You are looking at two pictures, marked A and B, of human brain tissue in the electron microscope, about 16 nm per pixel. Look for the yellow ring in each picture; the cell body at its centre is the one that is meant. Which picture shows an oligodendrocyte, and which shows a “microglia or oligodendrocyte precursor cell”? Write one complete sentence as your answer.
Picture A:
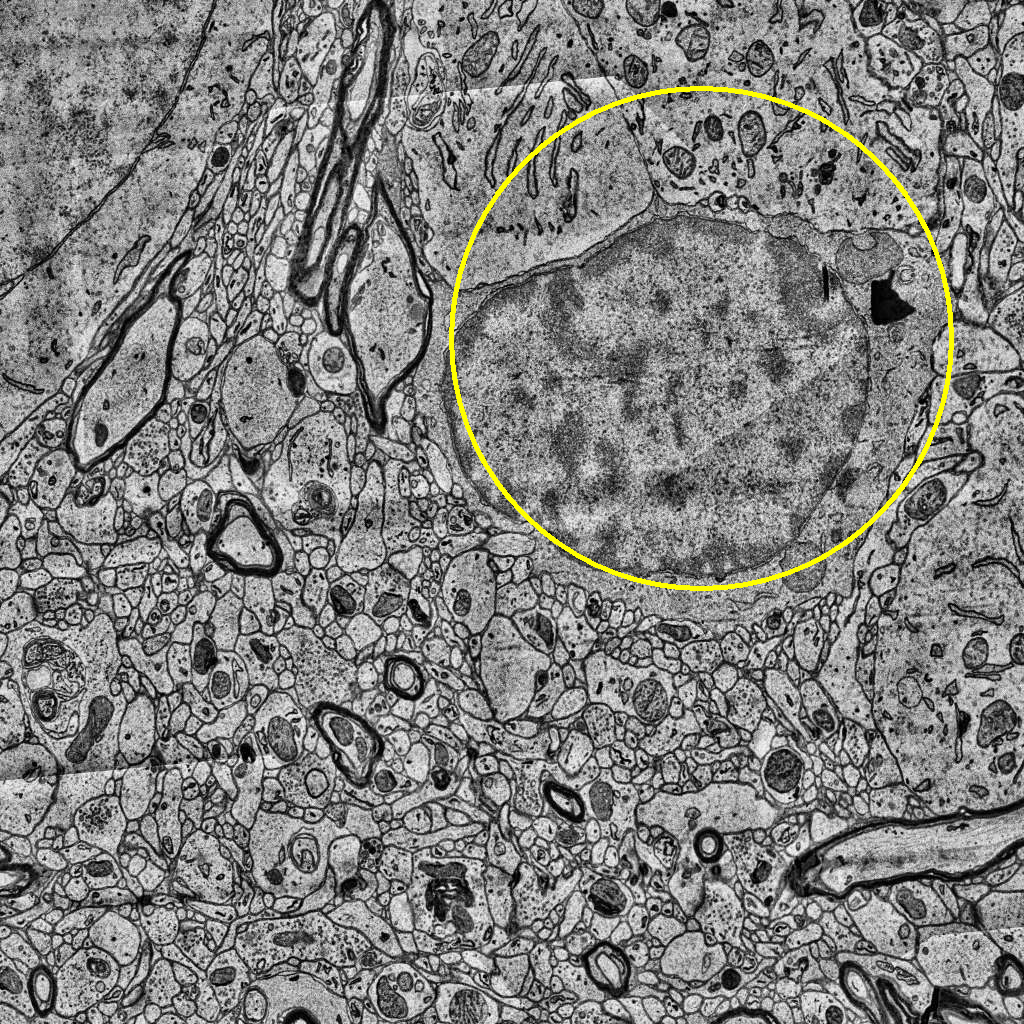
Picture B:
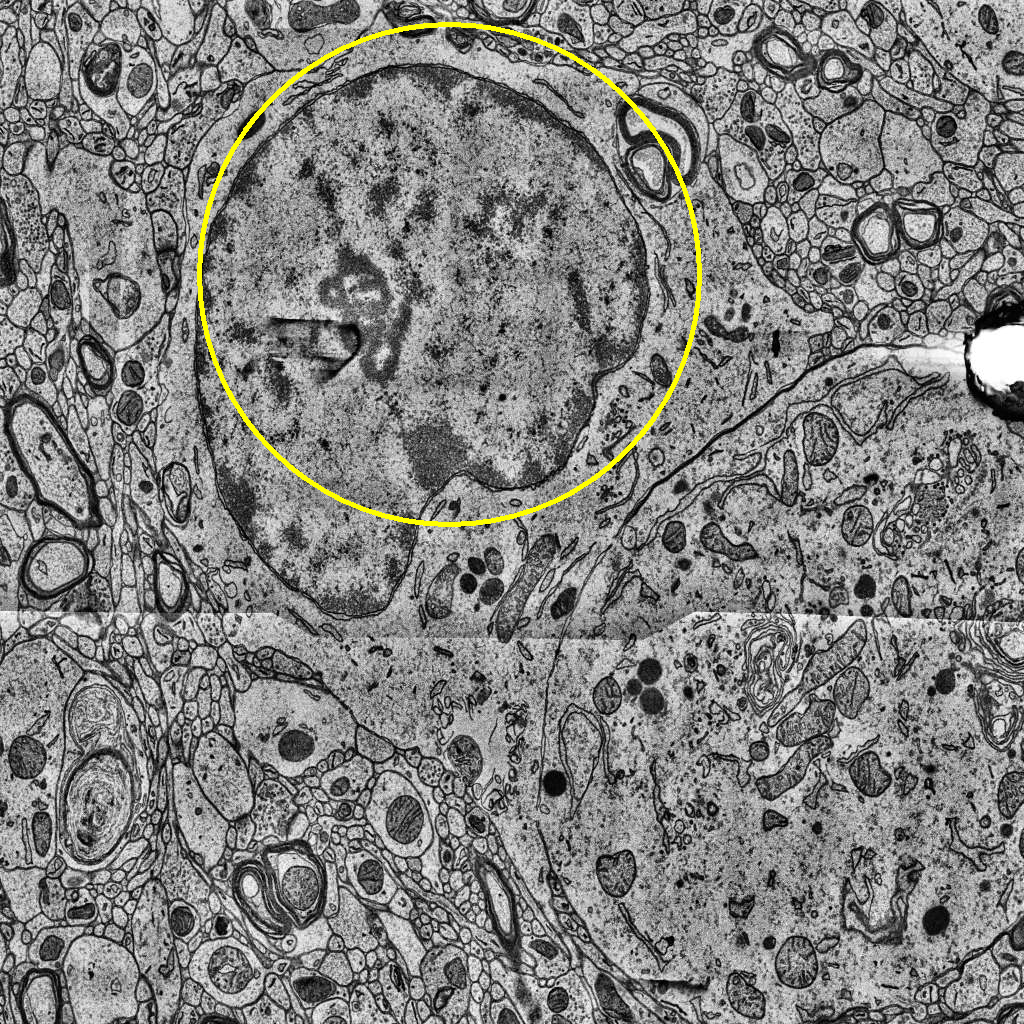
It is picture A that shows an oligodendrocyte, and picture B that shows a “microglia or oligodendrocyte precursor cell”.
